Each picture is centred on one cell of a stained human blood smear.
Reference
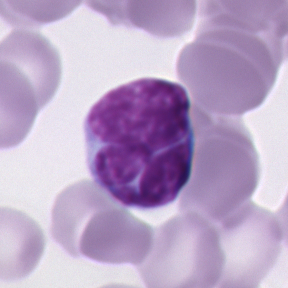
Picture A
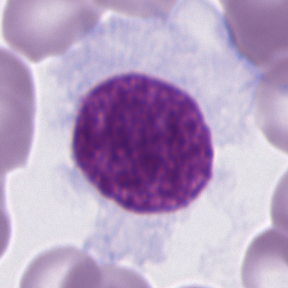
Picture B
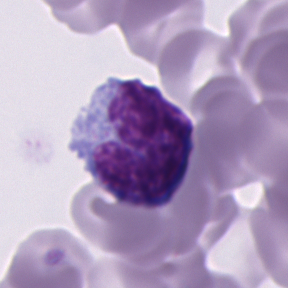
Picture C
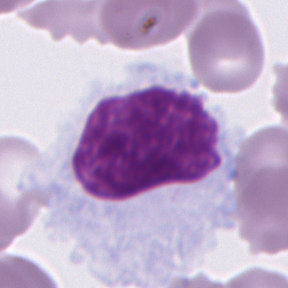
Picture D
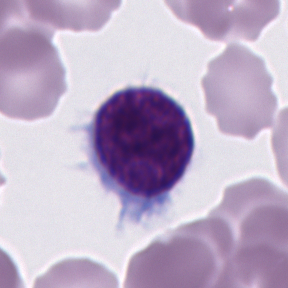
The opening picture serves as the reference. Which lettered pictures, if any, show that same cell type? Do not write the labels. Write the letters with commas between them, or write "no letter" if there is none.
B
